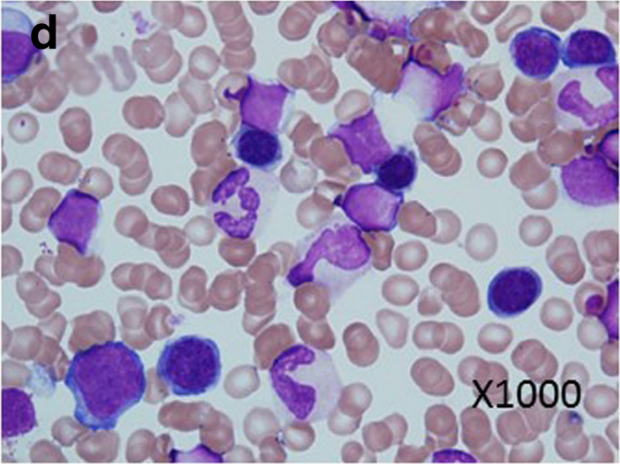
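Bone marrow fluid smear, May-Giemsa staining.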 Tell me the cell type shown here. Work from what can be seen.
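Several nucleated cells have intensely blue-purple cytoplasm. Their nuclei are round and dark. They lie among red cells and neutrophils with lobed nuclei. That points to this answer: strongly basophilic immature erythroblasts.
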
